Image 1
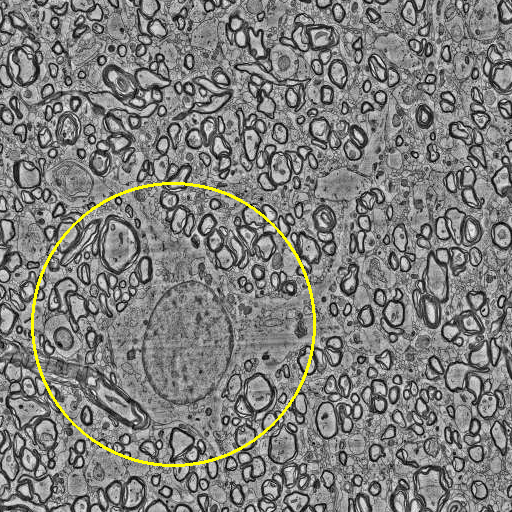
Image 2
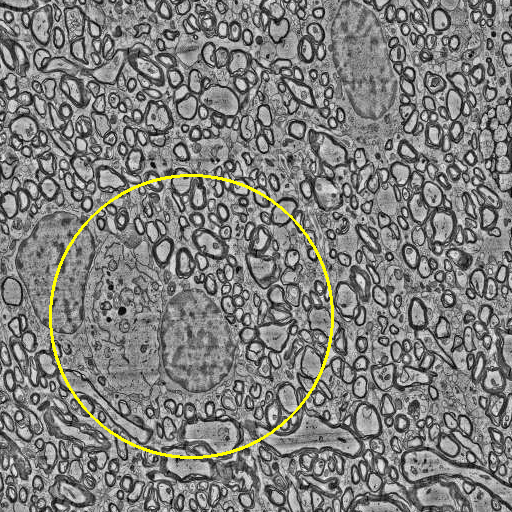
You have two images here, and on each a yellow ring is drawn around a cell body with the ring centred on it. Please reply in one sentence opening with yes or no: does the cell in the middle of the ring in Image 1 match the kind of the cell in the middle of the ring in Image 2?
No, the two images show cells of two kinds at the centres of their rings.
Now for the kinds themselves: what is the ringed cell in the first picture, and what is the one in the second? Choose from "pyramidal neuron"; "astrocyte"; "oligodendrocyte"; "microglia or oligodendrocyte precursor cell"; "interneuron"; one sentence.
Here the first cell is an astrocyte and the second cell is an oligodendrocyte.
